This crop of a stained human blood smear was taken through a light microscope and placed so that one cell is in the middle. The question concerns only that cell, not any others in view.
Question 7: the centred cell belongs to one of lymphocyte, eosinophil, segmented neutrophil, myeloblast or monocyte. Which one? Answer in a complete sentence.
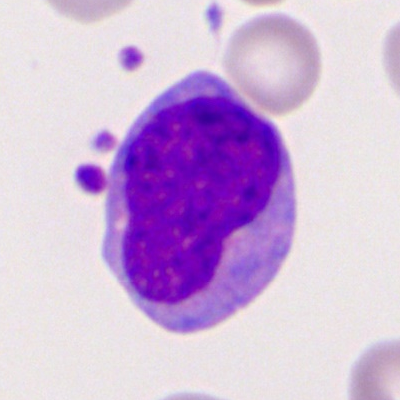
Classification of the middle cell gives a myeloblast.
